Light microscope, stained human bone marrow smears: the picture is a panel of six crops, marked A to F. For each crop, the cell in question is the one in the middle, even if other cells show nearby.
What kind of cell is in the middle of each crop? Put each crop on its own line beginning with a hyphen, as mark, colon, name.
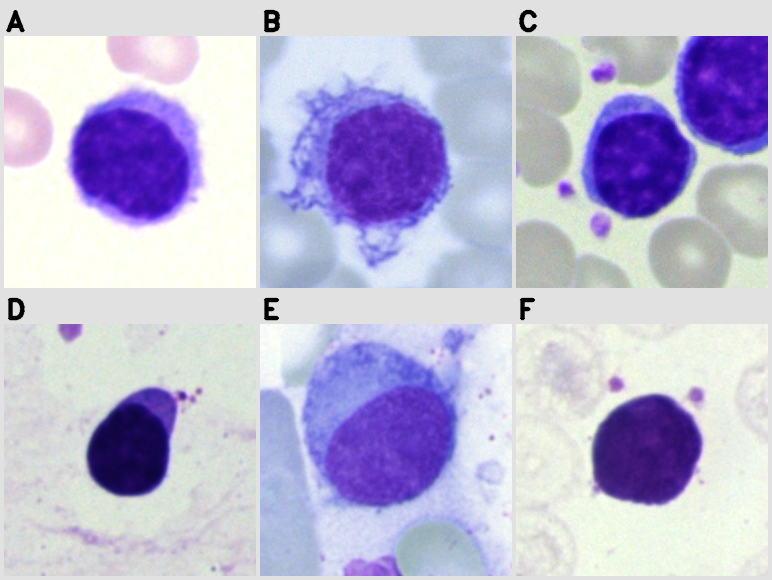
- A: hairy cell
- B: hairy cell
- C: lymphocyte
- D: lymphocyte
- E: hairy cell
- F: lymphocyte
